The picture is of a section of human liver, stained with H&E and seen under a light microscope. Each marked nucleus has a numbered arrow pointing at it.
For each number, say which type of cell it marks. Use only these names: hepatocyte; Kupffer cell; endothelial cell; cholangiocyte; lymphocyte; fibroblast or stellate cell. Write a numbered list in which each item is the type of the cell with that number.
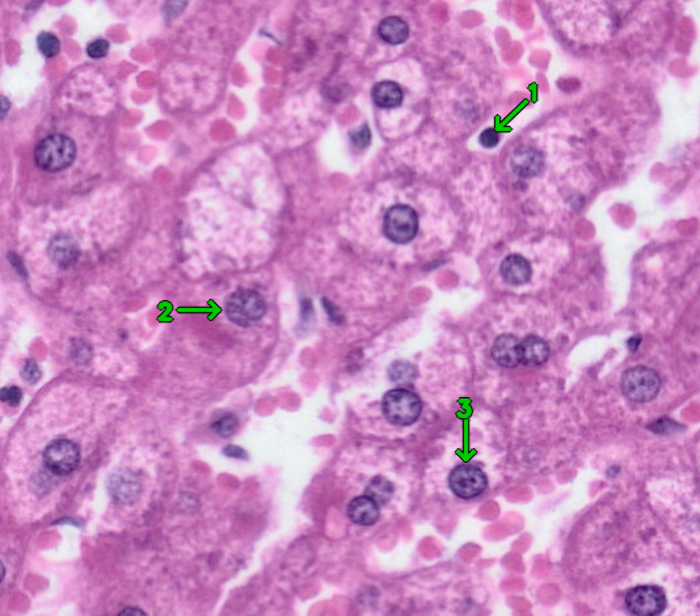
1. lymphocyte
2. hepatocyte
3. hepatocyte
